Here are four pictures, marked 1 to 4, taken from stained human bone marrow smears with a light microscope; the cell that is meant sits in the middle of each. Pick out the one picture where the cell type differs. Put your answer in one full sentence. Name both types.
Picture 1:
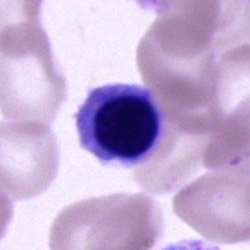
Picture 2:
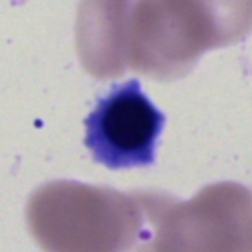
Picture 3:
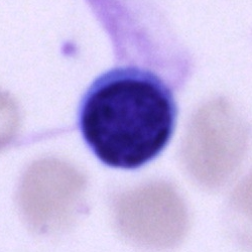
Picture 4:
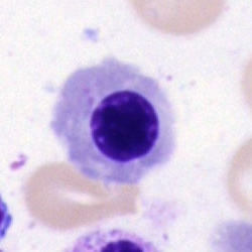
The different one is picture 3; it shows a lymphocyte, whereas all the others show erythroblasts.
